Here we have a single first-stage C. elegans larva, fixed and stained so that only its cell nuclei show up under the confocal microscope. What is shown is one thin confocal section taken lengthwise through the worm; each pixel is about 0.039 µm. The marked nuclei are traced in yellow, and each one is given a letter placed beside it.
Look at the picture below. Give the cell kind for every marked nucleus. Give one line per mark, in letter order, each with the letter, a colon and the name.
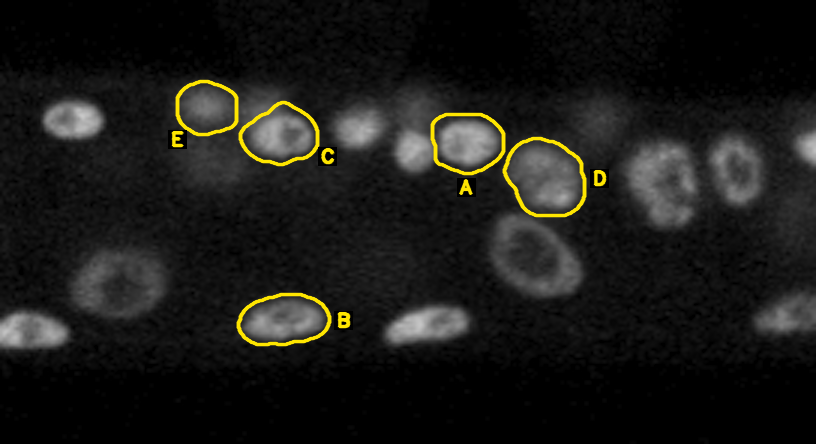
A: body wall muscle cell
B: body wall muscle cell
C: body wall muscle cell
D: germ line precursor
E: neuron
